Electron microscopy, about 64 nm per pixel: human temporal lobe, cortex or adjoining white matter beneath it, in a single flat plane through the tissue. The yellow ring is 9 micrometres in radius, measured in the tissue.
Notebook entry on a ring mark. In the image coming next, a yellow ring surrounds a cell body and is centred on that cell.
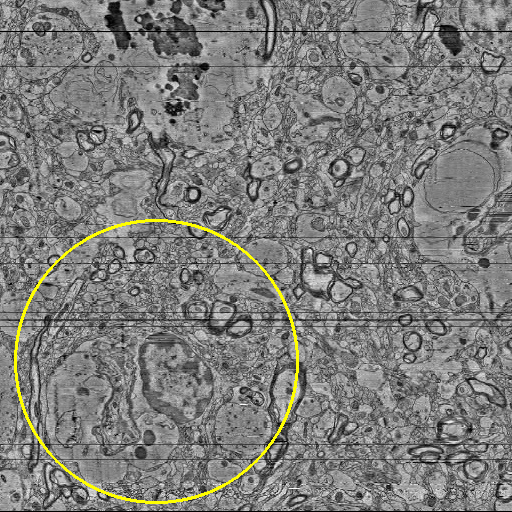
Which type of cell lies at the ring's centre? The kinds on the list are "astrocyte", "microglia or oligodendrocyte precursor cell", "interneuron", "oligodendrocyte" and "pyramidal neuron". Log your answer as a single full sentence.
Centred in the yellow ring is a microglial cell or oligodendrocyte precursor cell, the cell recorded for this image.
